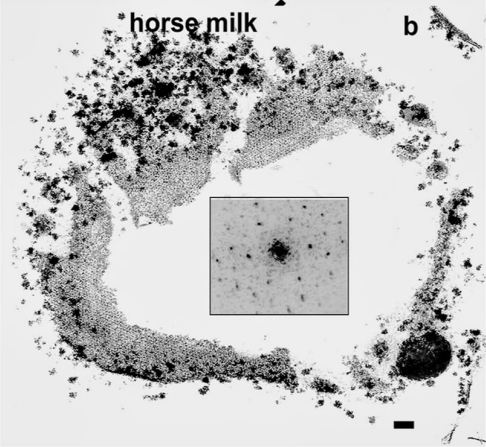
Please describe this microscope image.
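The material forms a broad curved band around a pale central area, with a further sheet at the top. Throughout the band a fine, regular dotted lattice is visible. Clumps of darker, coarse material are scattered along the edges and over the upper part.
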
